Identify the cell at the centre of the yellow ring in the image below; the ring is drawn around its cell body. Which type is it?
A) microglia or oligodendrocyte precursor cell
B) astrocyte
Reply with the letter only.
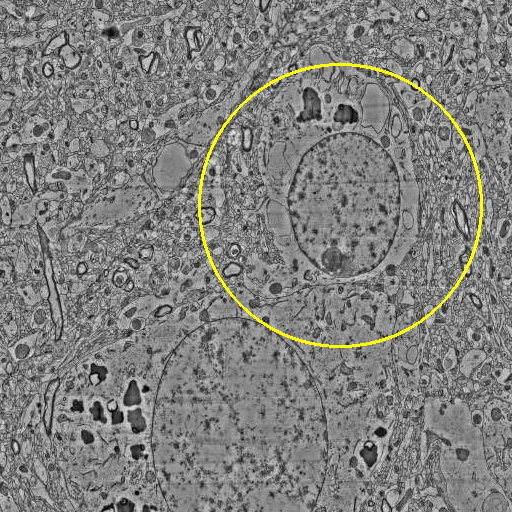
B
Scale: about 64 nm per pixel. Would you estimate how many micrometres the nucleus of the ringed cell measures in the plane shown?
The nucleus works out at approximately 9 by 7 micrometres in this plane.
